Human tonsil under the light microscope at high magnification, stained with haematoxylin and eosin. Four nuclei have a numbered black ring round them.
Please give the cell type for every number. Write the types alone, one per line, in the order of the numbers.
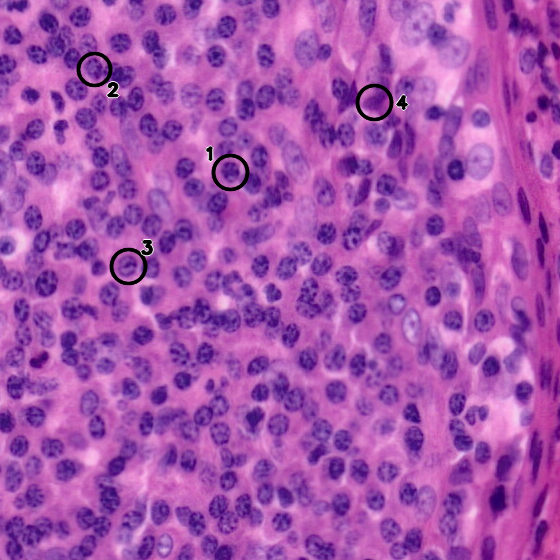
plasma cell
plasma cell
plasma cell
squamous epithelial cell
